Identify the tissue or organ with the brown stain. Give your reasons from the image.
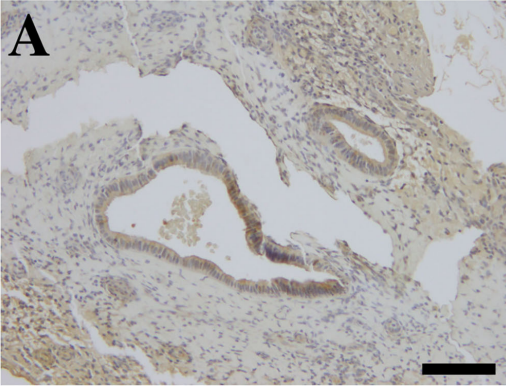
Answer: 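The strongest brown stain lies in a single layer of tall columnar cells lining open lumens. These lined lumens are round to irregular glands set in spindle-cell tissue. On this evidence: glandular epithelium.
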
